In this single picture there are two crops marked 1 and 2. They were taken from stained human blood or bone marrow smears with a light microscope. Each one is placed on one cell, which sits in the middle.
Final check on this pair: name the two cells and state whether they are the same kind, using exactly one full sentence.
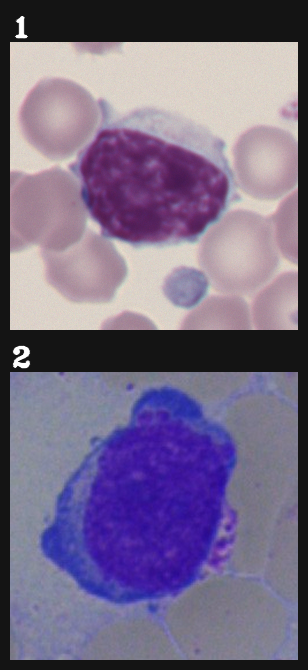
No, cell 1 is a lymphocyte, and cell 2 is a blast.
